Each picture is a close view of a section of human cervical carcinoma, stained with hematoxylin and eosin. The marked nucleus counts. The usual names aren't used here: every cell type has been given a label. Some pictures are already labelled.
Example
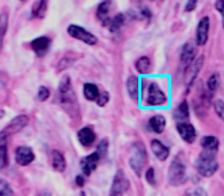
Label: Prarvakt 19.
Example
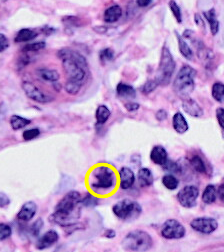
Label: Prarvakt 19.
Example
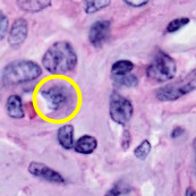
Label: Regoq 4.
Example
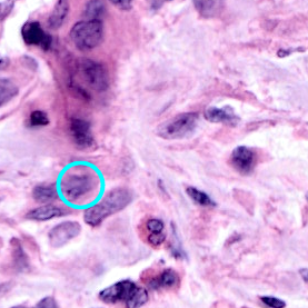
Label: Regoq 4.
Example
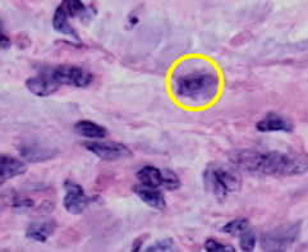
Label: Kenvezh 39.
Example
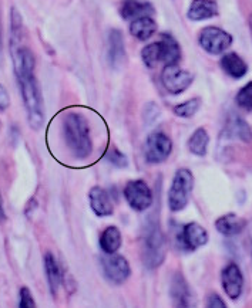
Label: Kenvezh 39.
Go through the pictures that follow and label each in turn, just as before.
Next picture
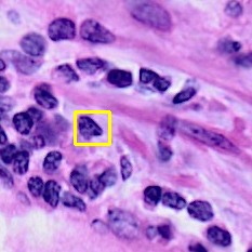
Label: Prarvakt 19.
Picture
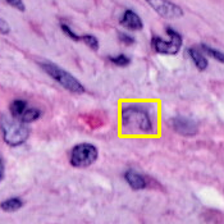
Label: Regoq 4.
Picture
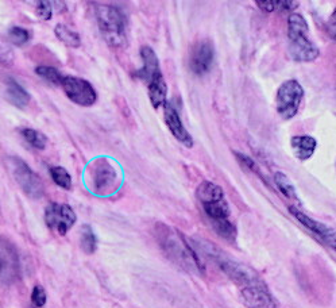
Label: Kenvezh 39.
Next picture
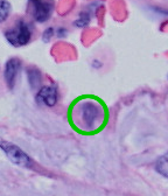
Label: Regoq 4.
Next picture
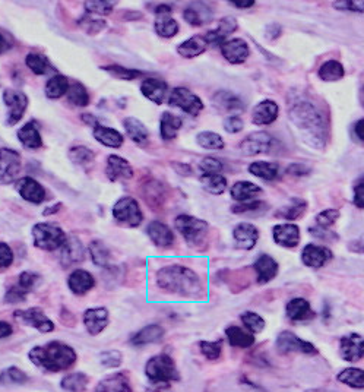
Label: Kenvezh 39.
